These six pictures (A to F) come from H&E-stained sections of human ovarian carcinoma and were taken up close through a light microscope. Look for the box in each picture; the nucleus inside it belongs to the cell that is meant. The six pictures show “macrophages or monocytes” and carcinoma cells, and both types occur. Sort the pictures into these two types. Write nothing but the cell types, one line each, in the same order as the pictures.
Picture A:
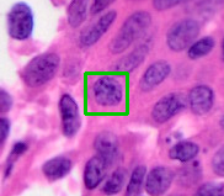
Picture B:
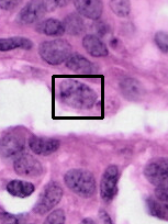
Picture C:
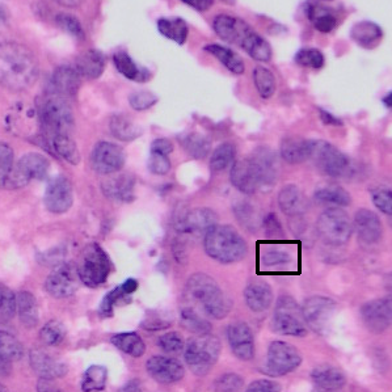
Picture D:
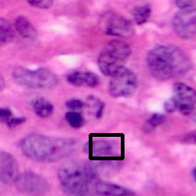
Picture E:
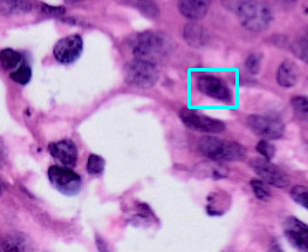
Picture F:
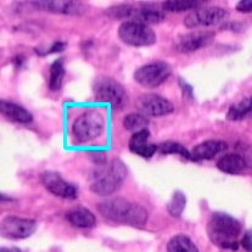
macrophage or monocyte
macrophage or monocyte
macrophage or monocyte
carcinoma cell
carcinoma cell
macrophage or monocyte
